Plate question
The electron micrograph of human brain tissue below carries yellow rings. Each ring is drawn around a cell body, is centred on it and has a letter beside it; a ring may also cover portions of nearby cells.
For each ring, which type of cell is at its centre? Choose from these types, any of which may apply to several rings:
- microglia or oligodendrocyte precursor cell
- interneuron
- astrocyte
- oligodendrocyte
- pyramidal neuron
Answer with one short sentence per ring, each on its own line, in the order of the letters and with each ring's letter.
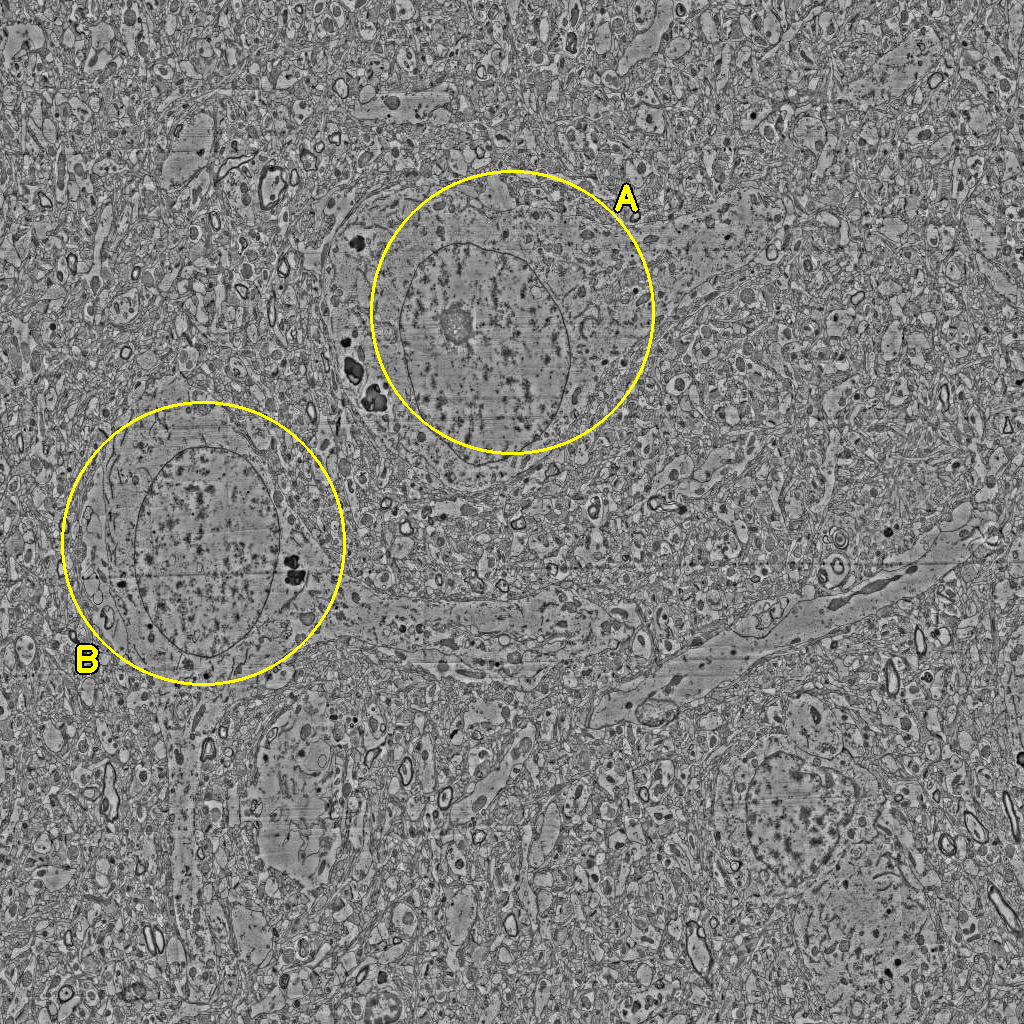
The cell ringed as A is a pyramidal neuron.
The cell ringed as B is a pyramidal neuron.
